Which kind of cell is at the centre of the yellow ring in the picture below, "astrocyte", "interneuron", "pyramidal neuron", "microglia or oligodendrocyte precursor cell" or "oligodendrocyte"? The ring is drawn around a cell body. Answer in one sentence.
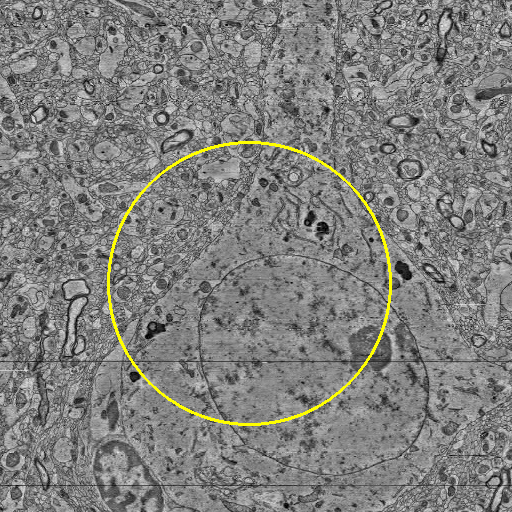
The ring's central cell is a pyramidal neuron.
